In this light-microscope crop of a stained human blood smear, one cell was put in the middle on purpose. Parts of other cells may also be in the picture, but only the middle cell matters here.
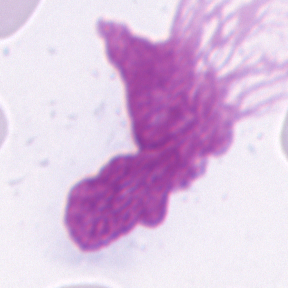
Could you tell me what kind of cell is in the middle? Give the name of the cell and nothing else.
smudge cell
